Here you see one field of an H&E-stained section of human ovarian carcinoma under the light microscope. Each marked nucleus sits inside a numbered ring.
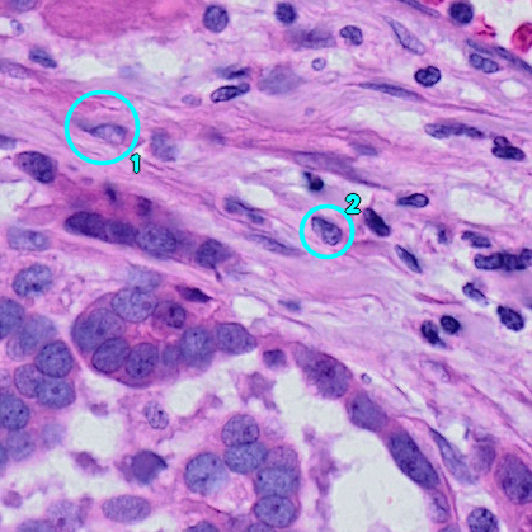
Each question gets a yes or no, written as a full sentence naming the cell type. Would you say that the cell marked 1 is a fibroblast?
Yes, the cell indicated by number 1 is a fibroblast.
